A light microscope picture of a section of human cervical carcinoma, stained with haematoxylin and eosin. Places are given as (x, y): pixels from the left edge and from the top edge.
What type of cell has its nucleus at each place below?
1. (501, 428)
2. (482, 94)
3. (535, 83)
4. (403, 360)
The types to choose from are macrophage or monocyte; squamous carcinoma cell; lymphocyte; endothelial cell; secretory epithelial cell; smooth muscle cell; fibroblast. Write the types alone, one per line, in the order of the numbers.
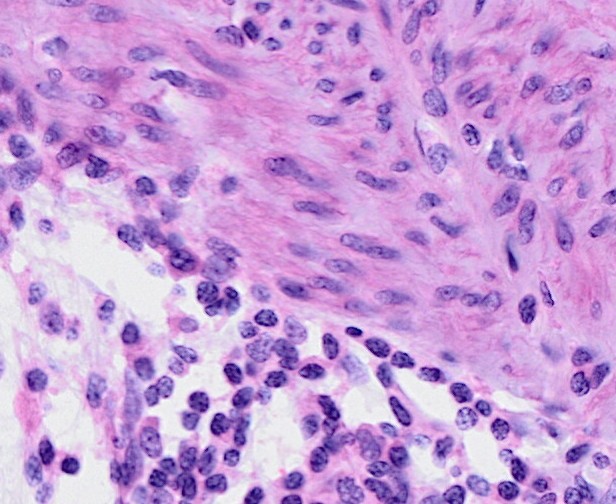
lymphocyte
smooth muscle cell
smooth muscle cell
lymphocyte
